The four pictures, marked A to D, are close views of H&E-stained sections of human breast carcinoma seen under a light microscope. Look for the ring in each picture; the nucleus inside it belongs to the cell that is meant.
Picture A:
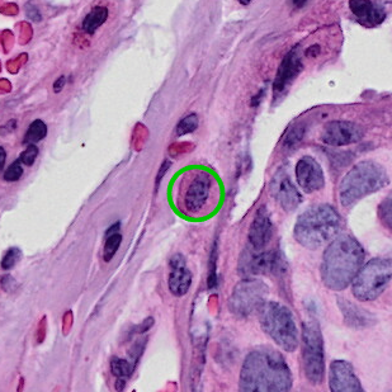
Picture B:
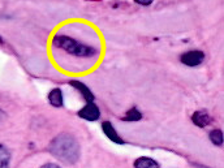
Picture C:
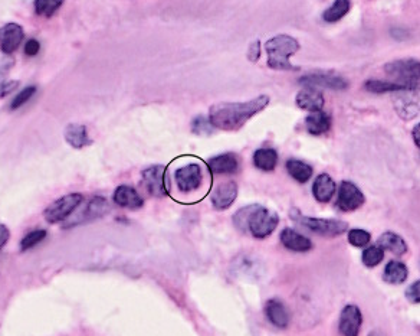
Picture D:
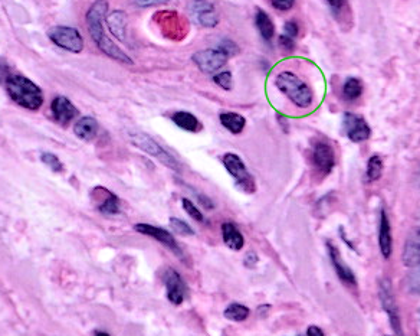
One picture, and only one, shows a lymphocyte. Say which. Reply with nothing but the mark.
C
